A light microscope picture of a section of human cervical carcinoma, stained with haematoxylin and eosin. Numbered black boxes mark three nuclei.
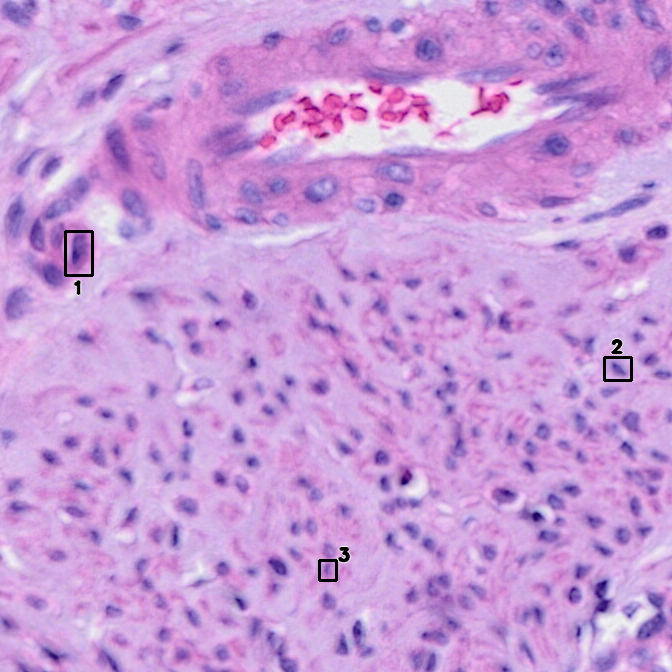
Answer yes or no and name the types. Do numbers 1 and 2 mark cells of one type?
No, mate, cell 1 is an endothelial cell and cell 2 is a fibroblast.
